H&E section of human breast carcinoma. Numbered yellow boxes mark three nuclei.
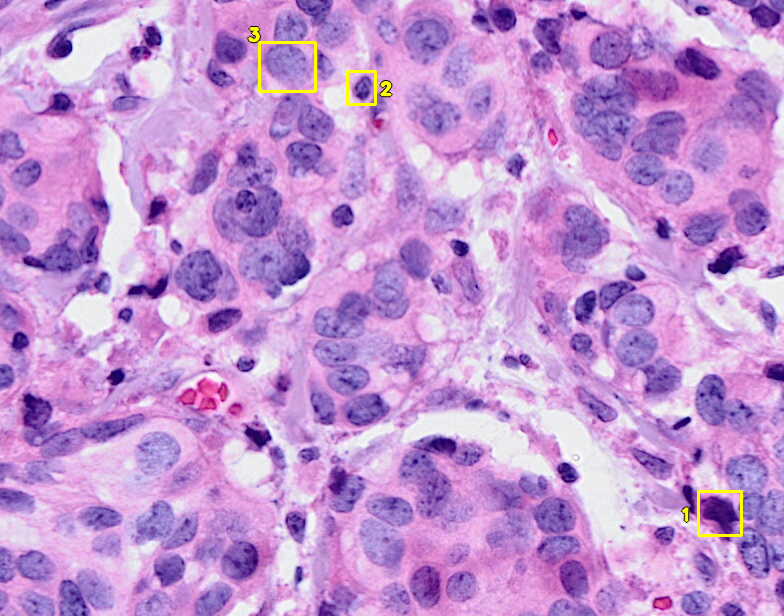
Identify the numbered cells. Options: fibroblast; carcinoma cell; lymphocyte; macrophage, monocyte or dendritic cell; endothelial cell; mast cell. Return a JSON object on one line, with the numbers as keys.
{"1": "carcinoma cell", "2": "lymphocyte", "3": "carcinoma cell"}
